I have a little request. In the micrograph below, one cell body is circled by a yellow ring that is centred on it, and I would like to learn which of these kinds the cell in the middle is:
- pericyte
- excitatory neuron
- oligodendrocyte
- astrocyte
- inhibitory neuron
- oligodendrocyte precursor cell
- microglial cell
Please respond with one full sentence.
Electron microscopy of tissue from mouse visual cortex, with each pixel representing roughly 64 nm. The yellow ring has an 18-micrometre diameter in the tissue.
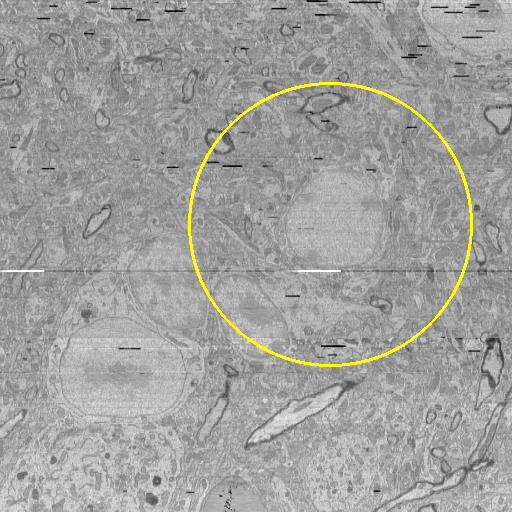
The cell sitting in the middle of the yellow ring in the micrograph is an astrocyte.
